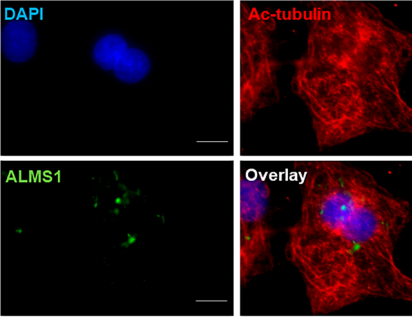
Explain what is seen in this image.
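A single flattened, spread cell fills much of the field, its cytoplasm crossed by a dense red network of fine filaments radiating through the cell body. Blue, rounded nuclear material lies in its center, with a second, separate blue nucleus at the upper left edge. Small bright green dots are few and discrete, with one lying centrally over the nuclear region and others scattered nearby in the cytoplasm, visible as green spots against red in the merged image.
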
